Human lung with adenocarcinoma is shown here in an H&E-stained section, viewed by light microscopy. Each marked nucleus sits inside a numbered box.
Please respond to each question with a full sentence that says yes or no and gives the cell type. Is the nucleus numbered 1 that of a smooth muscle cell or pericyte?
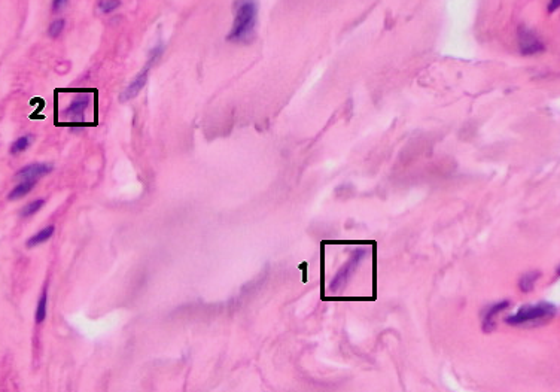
No, number 1 points to a fibroblast and not to a smooth muscle cell or pericyte.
